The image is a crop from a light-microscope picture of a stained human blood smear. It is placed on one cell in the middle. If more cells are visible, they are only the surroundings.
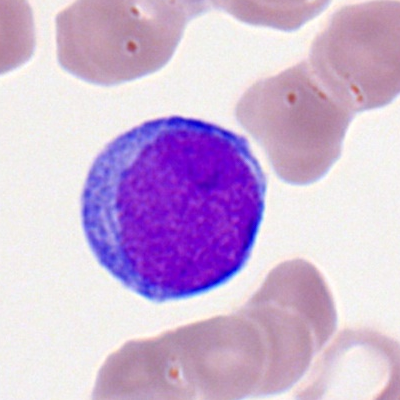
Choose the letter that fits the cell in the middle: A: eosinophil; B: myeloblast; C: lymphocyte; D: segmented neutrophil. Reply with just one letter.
B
